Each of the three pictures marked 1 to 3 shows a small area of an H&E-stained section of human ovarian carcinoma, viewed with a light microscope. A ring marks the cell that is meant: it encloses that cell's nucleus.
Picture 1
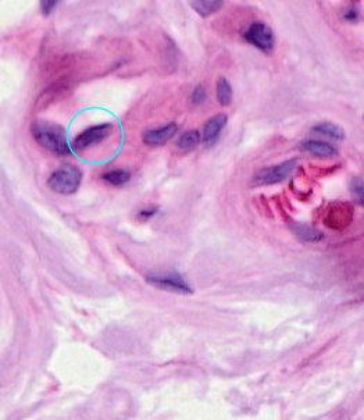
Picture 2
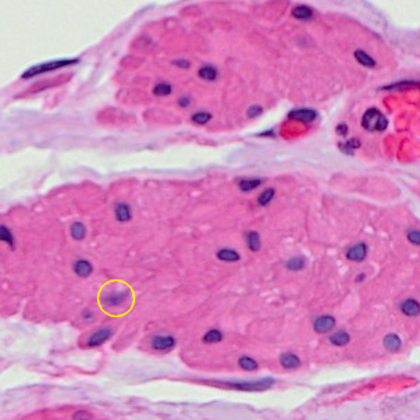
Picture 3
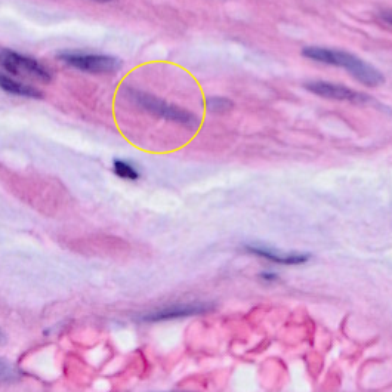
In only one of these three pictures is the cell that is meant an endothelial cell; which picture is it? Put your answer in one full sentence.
Picture 1 is the one that shows the endothelial cell.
